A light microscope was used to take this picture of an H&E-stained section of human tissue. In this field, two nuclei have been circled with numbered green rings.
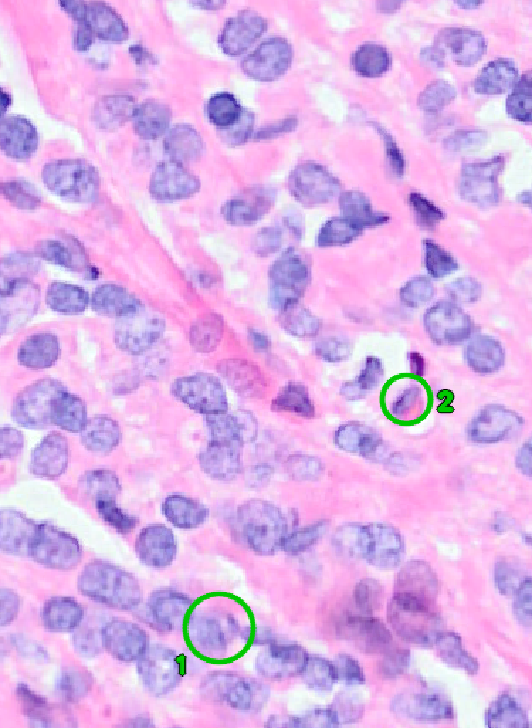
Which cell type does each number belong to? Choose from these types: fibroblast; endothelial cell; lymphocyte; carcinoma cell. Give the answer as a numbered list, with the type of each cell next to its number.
1. carcinoma cell
2. endothelial cell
